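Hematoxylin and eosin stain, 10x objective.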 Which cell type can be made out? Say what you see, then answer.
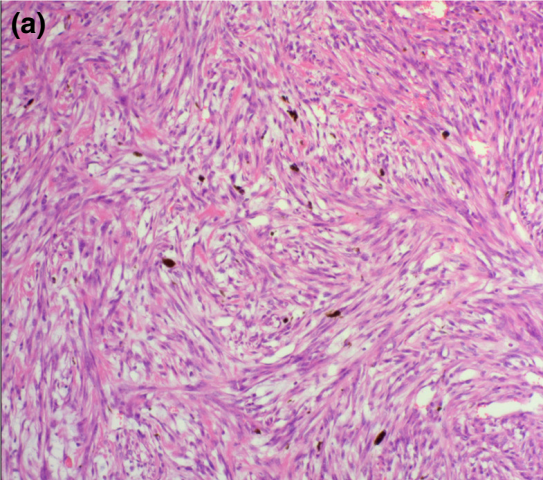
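Spindle cells. Cells are slender and elongated with tapered ends. Cells are packed in intersecting streams and bundles.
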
